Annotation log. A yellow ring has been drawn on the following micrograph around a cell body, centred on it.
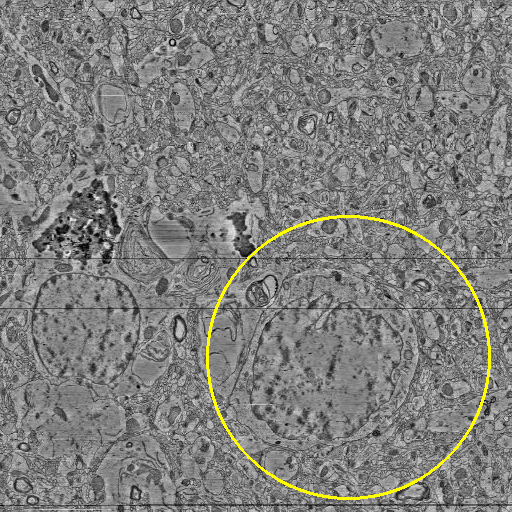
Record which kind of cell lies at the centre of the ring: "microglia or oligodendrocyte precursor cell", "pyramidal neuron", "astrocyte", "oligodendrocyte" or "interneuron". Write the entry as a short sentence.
The cell the ring is centred on is an interneuron.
